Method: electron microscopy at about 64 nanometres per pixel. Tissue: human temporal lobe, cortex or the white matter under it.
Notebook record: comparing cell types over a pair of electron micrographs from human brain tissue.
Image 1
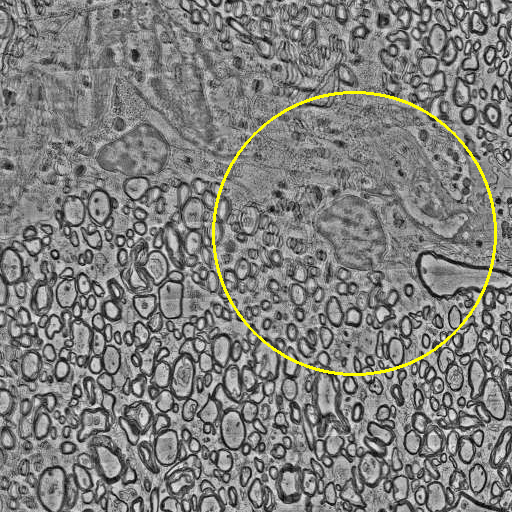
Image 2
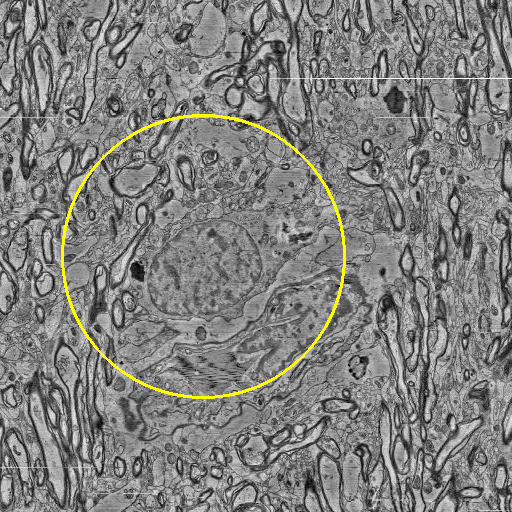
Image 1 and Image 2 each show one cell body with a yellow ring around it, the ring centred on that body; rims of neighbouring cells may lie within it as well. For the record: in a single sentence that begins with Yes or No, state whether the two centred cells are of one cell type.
No, two cell types are found among the centred cells of Image 1 and Image 2.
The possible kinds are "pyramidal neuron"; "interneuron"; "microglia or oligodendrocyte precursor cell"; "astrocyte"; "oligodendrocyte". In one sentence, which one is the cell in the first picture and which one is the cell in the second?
The cell ringed in the second picture is an oligodendrocyte, whereas the one ringed in the first is a microglial cell or oligodendrocyte precursor cell.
